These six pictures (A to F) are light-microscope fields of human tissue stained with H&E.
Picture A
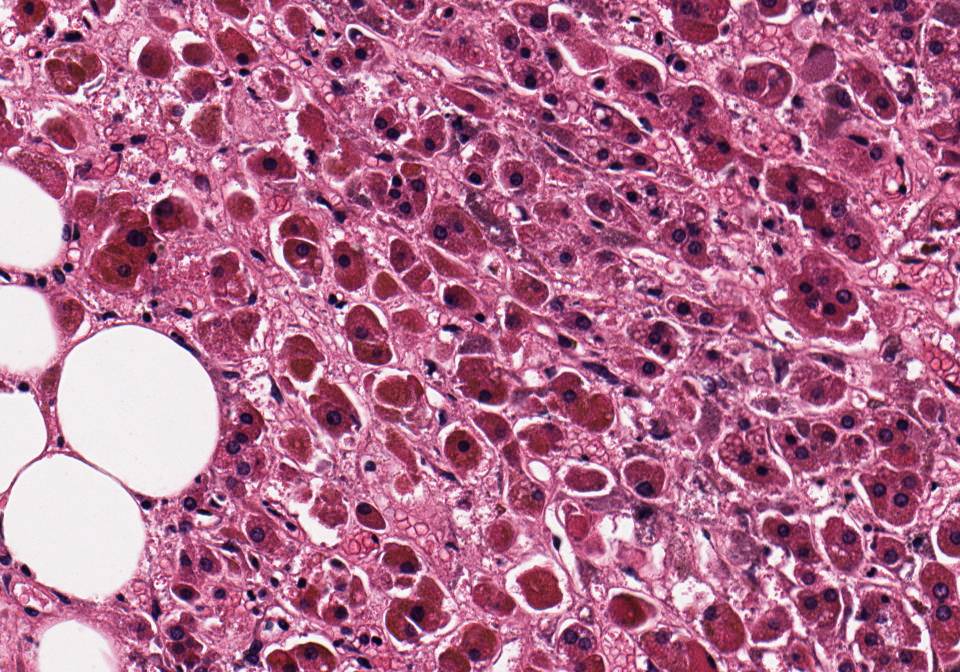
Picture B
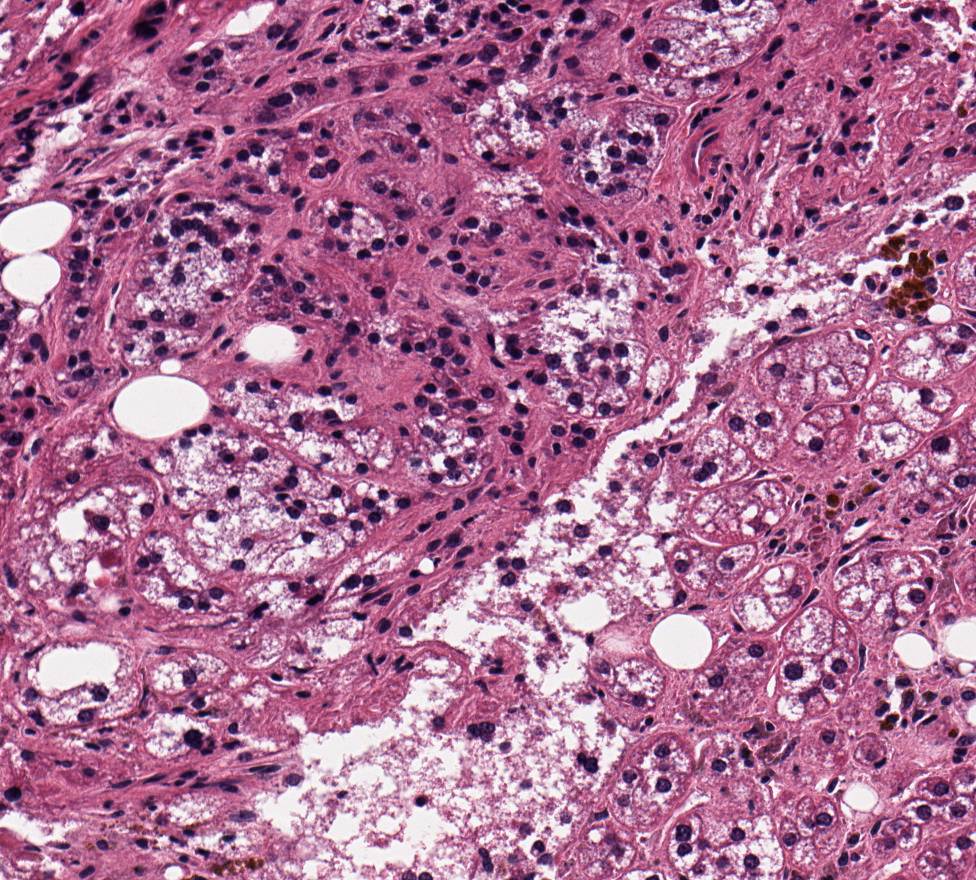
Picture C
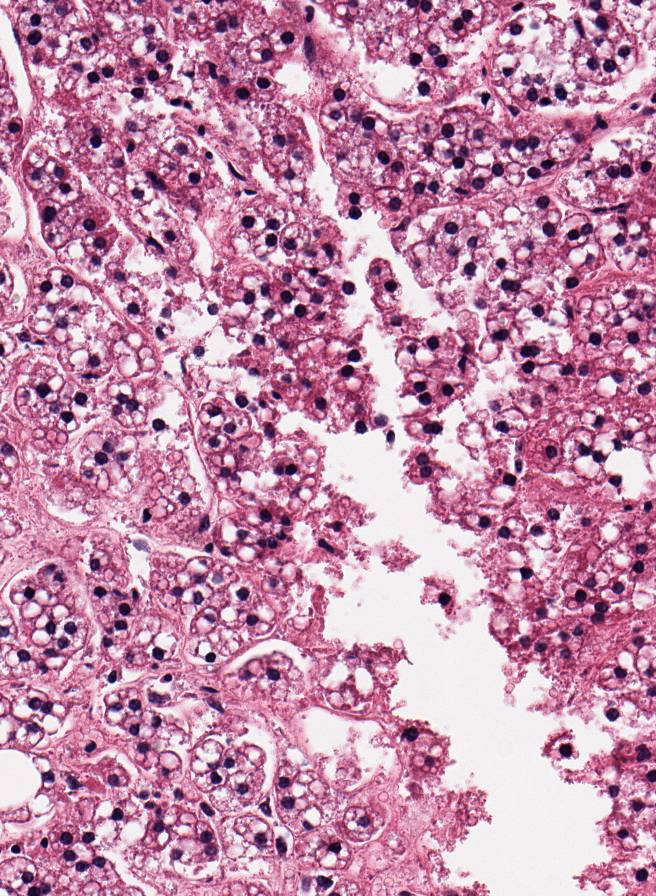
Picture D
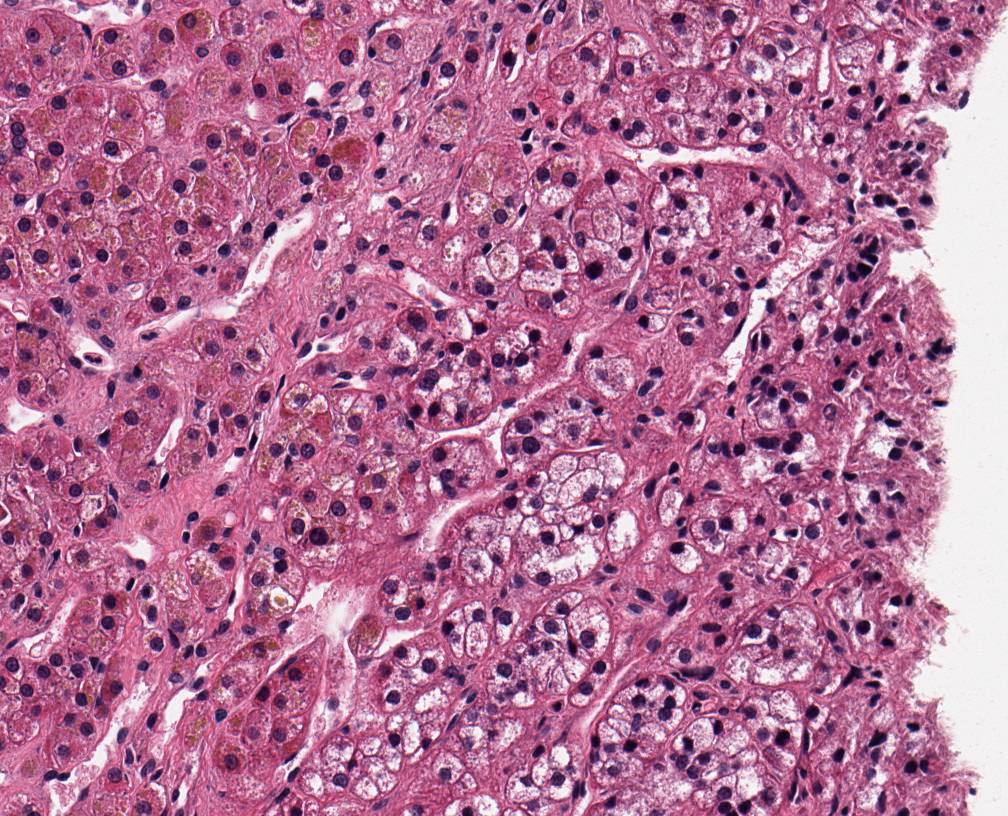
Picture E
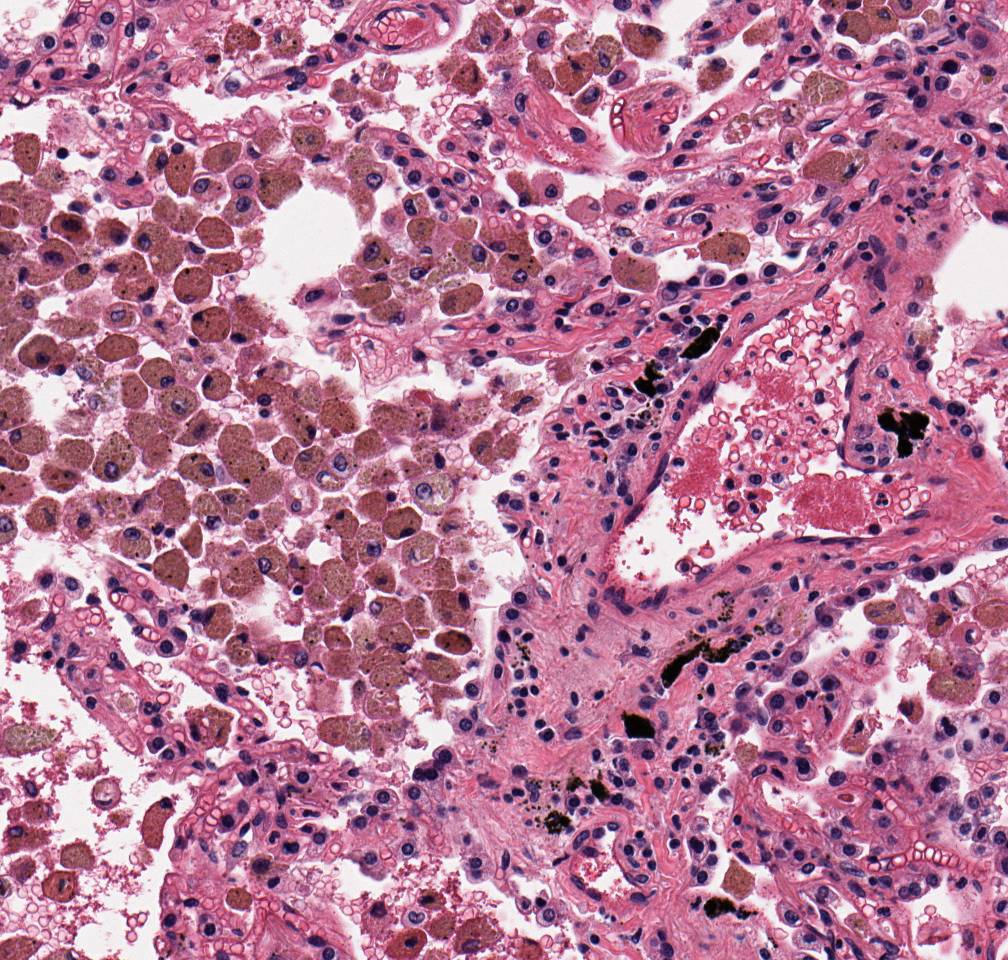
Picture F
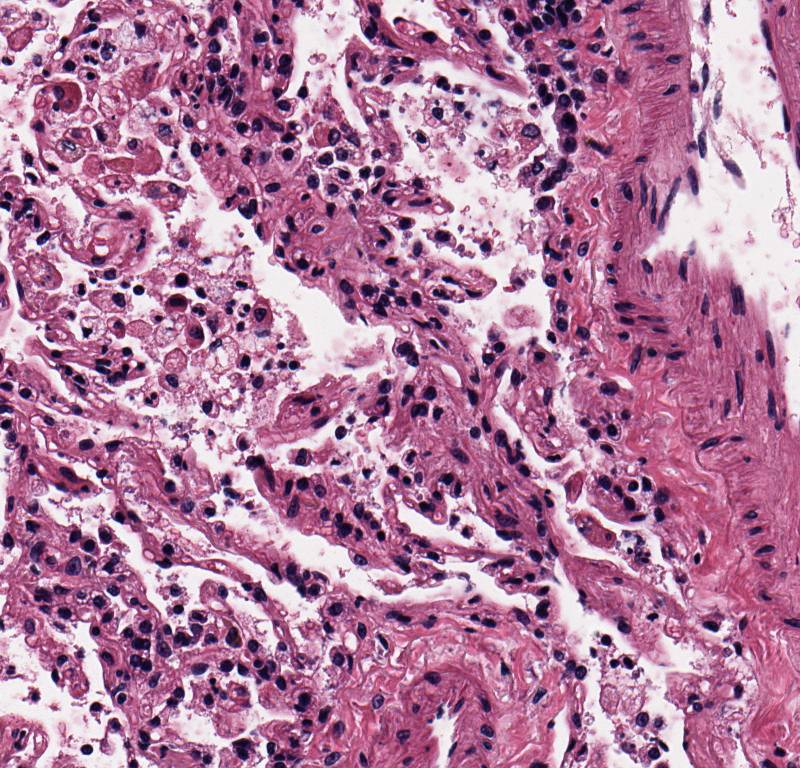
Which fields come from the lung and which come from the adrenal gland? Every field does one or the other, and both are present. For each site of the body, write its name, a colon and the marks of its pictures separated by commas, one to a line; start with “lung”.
lung: E, F
adrenal gland: A, B, C, D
